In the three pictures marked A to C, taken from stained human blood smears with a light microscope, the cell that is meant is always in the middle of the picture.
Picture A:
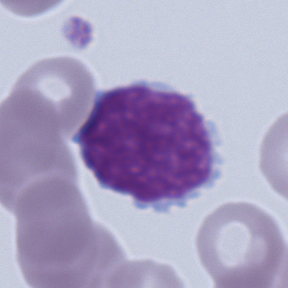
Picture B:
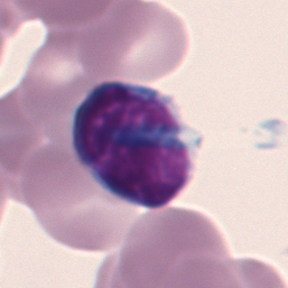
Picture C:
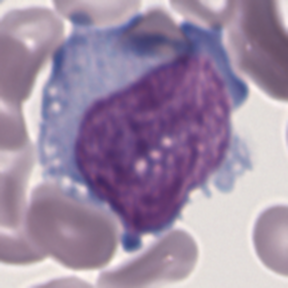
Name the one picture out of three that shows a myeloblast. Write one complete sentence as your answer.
Picture C shows the myeloblast.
